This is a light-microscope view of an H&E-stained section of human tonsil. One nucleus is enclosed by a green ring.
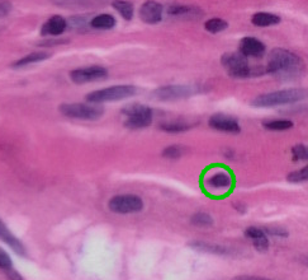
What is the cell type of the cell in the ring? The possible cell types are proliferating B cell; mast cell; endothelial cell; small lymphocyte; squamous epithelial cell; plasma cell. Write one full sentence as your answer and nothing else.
In terms of identity, the cell in the ring is a mast cell.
